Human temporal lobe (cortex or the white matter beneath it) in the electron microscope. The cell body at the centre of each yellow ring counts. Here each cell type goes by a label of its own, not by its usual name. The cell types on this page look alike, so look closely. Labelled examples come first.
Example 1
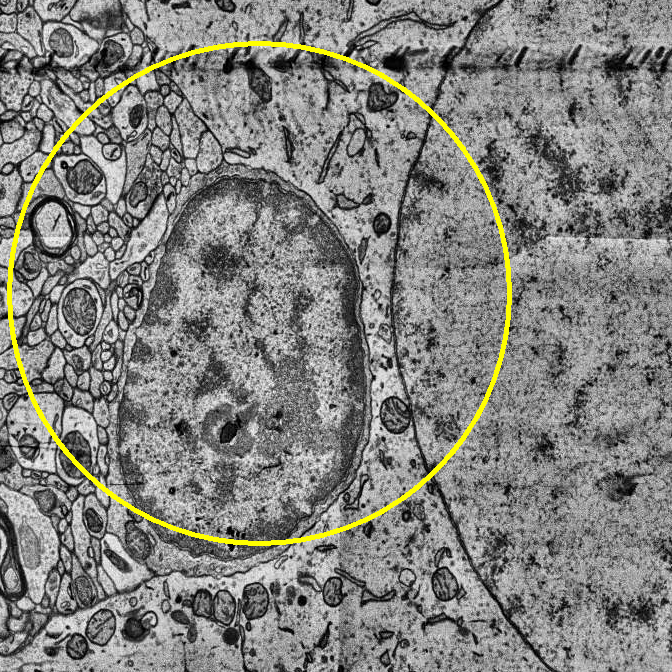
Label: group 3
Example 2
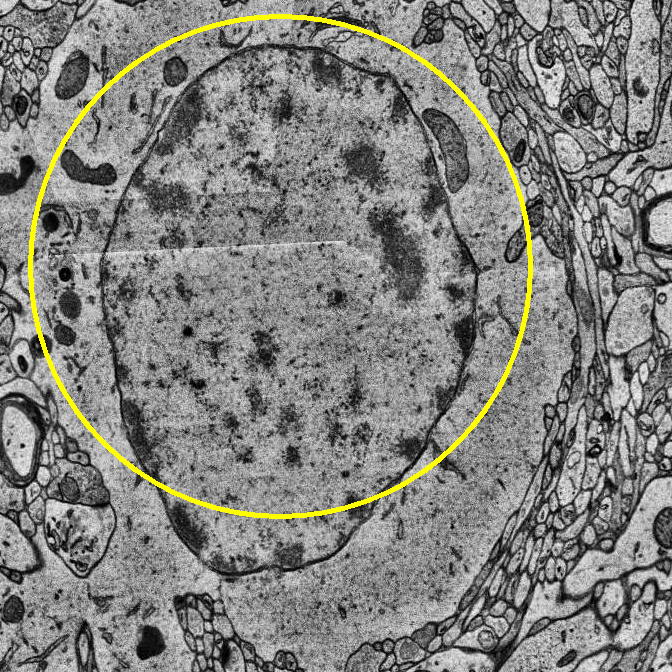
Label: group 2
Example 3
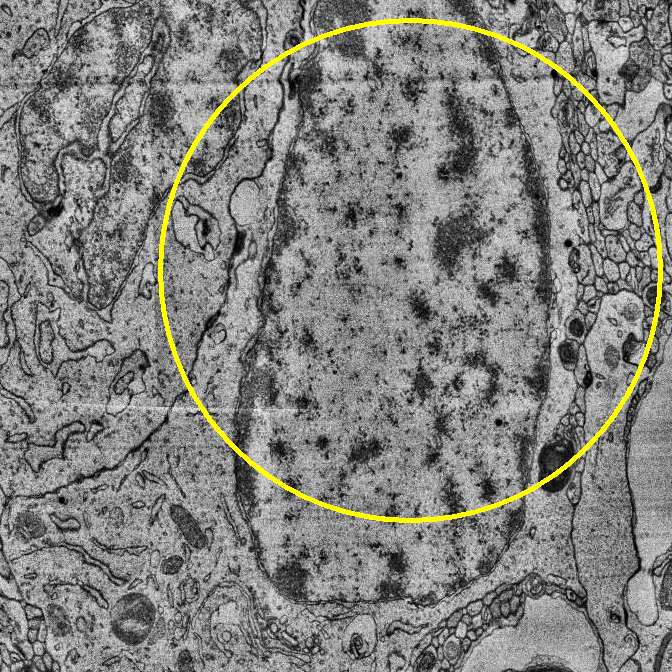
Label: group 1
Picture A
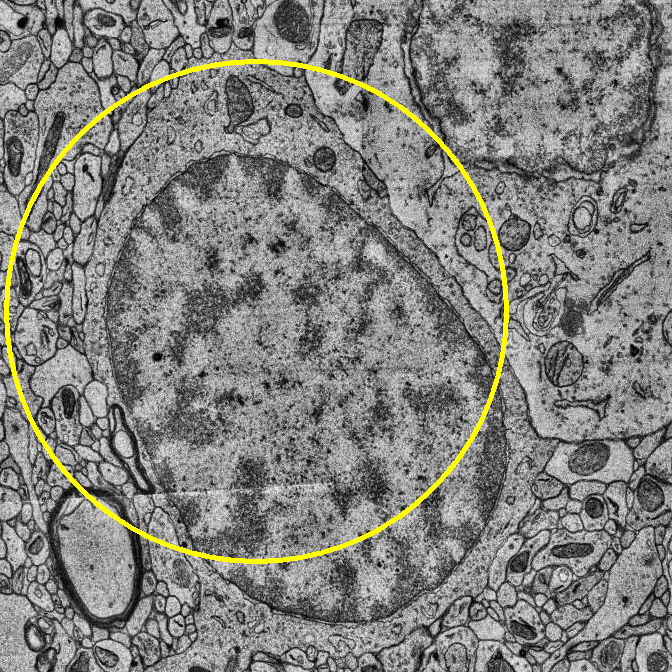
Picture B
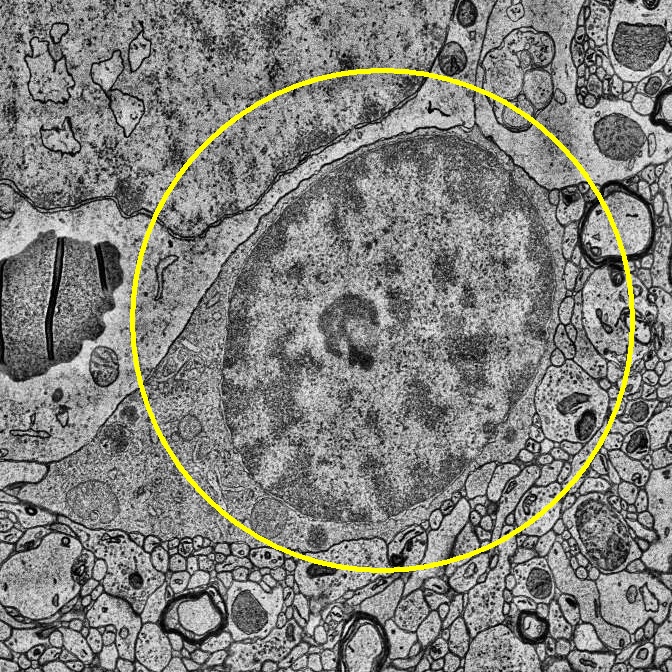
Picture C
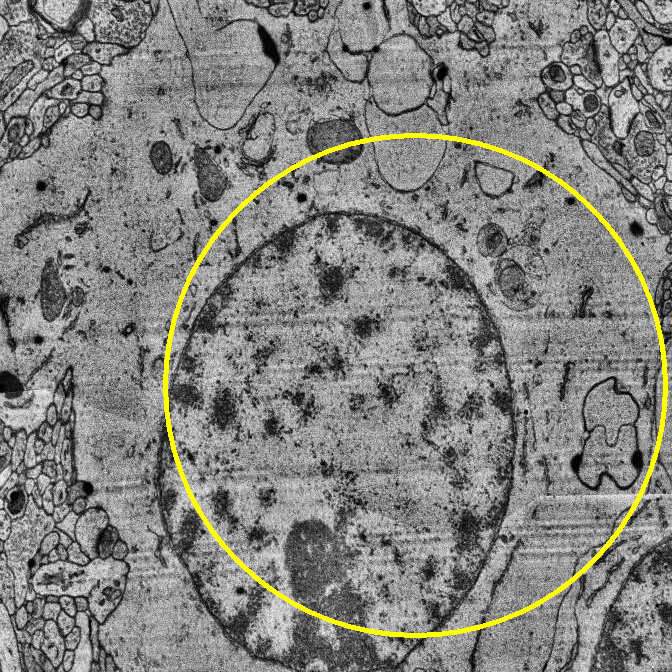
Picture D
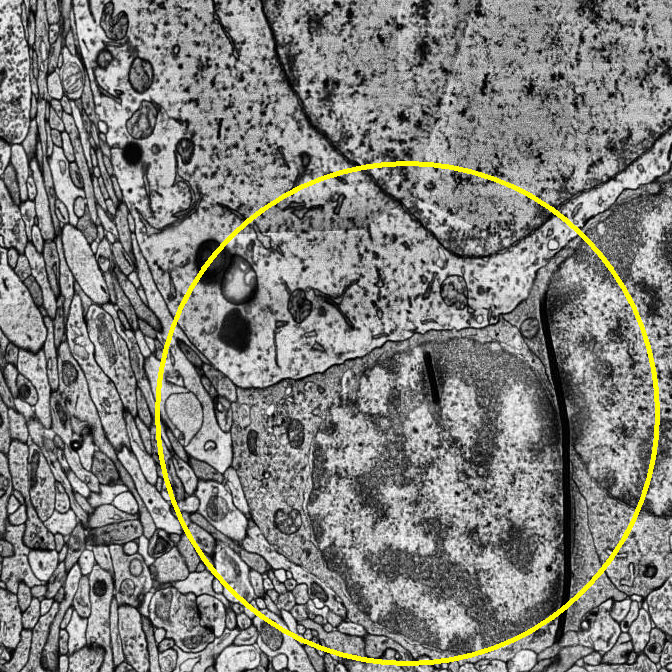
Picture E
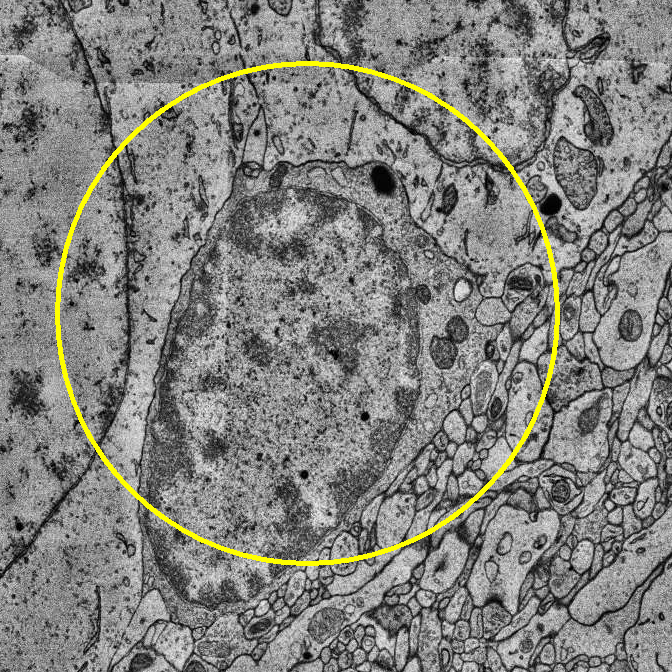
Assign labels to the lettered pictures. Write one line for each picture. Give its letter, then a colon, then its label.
A: group 3
B: group 3
C: group 2
D: group 3
E: group 3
